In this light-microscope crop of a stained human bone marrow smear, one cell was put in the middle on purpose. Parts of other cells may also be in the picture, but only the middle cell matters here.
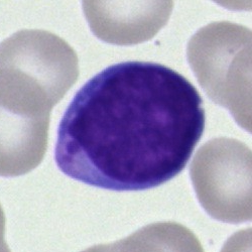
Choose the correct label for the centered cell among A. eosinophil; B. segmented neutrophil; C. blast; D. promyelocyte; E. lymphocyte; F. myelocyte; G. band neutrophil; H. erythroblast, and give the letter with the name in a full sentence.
Correctly, option E names the cell in the middle a lymphocyte.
